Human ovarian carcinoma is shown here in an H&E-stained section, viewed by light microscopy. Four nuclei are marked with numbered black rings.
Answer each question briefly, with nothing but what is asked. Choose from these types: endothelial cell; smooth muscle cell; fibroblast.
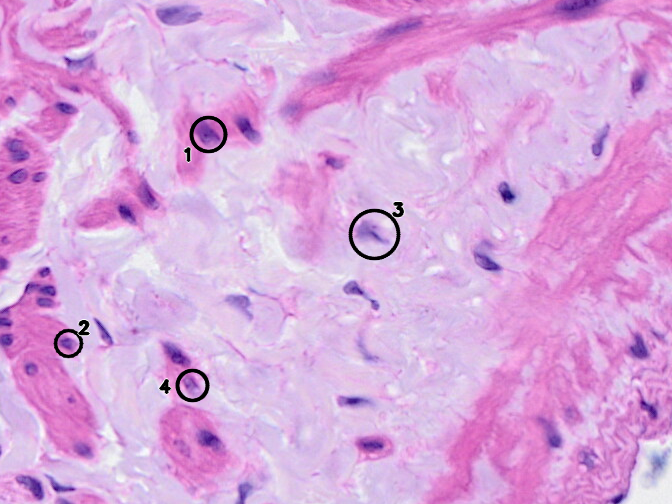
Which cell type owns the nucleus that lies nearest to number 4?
smooth muscle cell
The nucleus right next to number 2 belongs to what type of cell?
fibroblast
